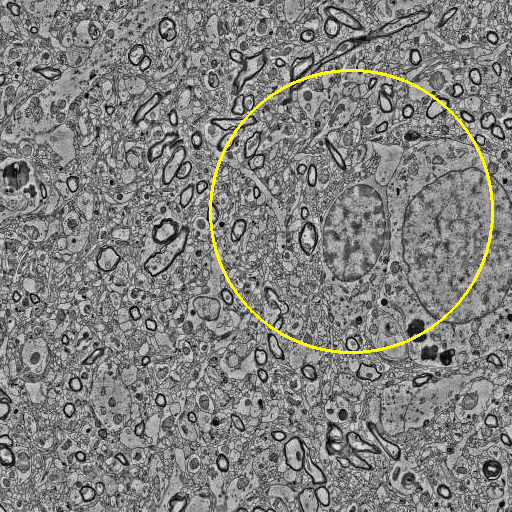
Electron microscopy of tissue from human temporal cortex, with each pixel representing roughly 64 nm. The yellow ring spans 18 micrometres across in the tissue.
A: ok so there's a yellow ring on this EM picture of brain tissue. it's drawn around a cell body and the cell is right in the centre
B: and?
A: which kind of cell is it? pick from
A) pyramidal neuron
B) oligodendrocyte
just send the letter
B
